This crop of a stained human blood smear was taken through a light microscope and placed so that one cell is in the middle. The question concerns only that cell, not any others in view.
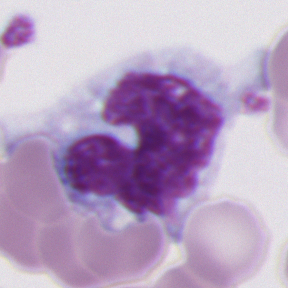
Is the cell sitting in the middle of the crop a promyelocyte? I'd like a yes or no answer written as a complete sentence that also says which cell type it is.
No, the cell placed at the center is a monocyte rather than a promyelocyte.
